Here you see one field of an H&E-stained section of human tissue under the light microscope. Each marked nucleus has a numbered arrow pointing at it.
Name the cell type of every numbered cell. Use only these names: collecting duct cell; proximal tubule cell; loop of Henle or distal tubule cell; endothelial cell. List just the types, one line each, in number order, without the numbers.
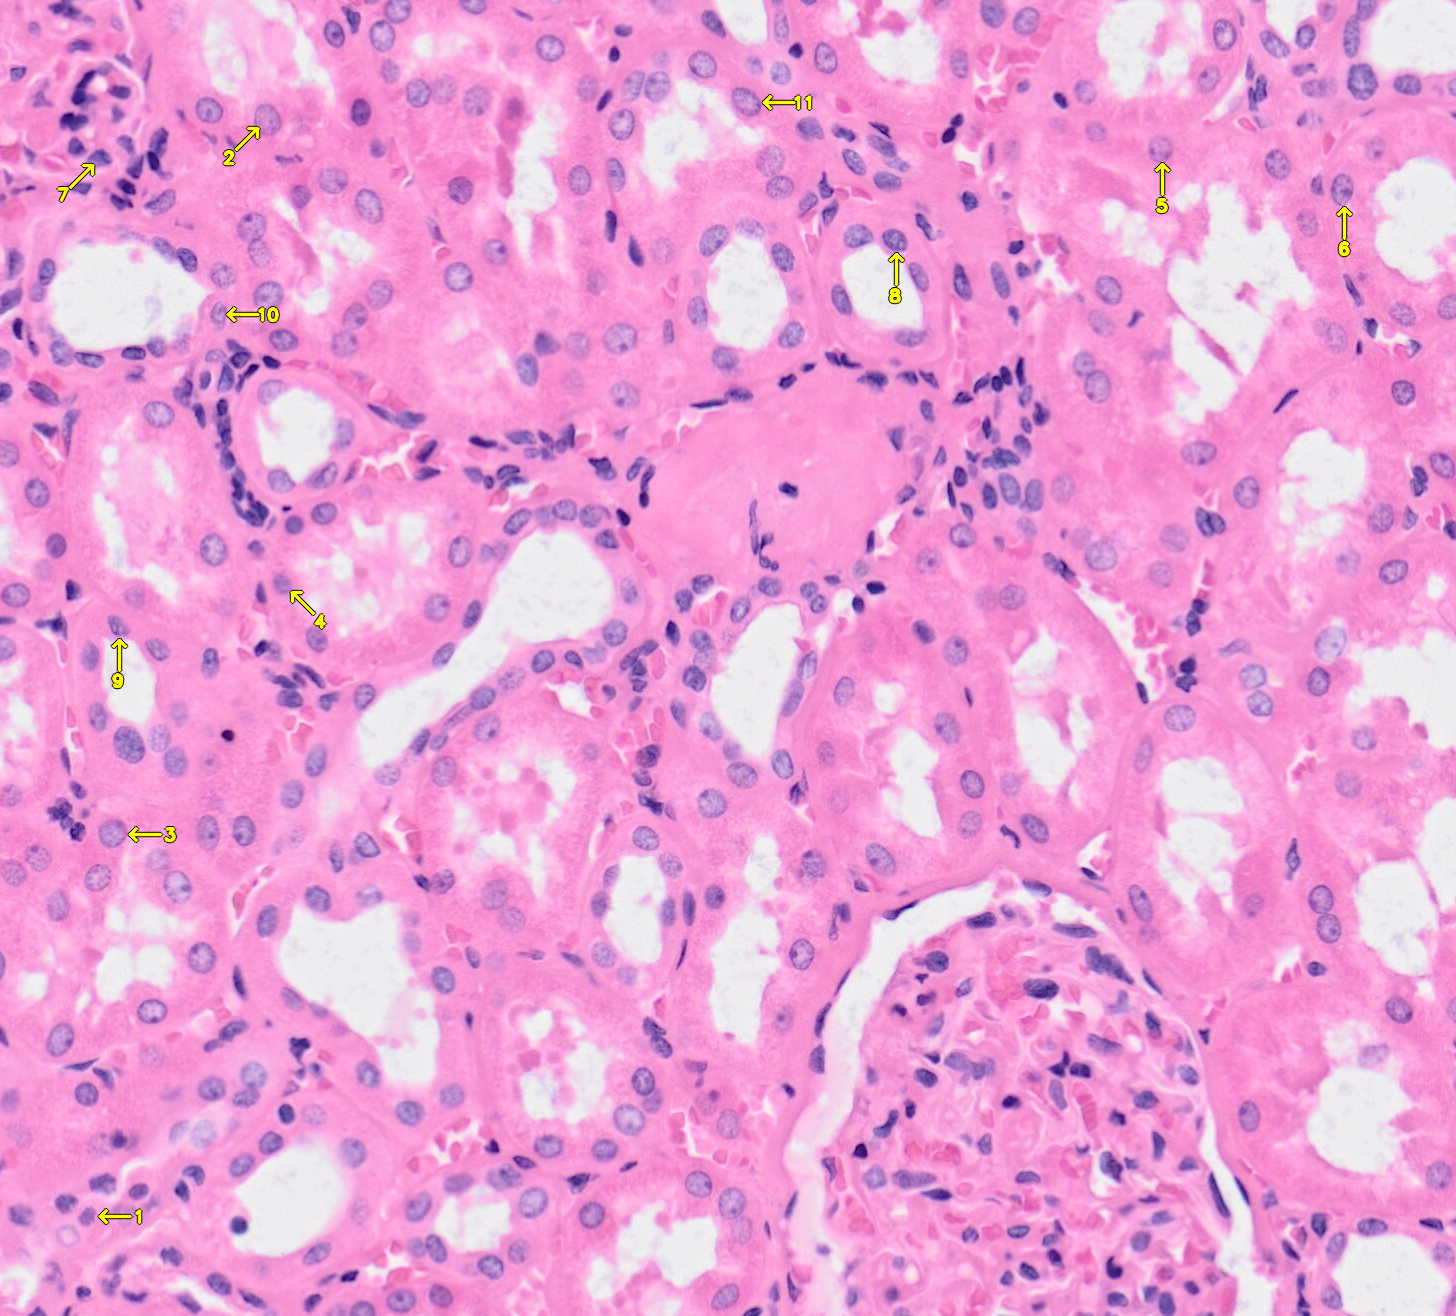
collecting duct cell
proximal tubule cell
proximal tubule cell
proximal tubule cell
proximal tubule cell
proximal tubule cell
endothelial cell
loop of Henle or distal tubule cell
loop of Henle or distal tubule cell
loop of Henle or distal tubule cell
proximal tubule cell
